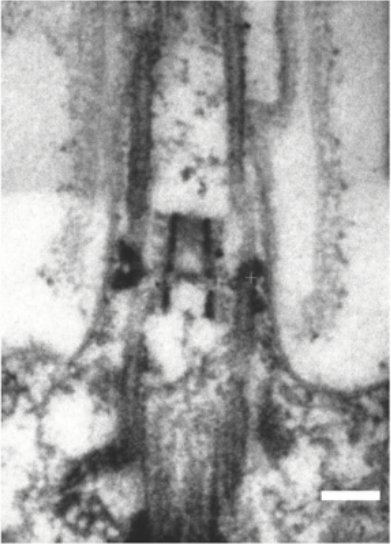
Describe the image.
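Longitudinal section through the base of a cilium at its transition zone. Parallel electron-dense microtubule walls run from the cell body up into the membrane-bounded ciliary shaft. At the base, a dense cylindrical structure with transverse bars spans the lumen, flanked by dark dense deposits at the ciliary membrane. Surrounding cytoplasm and neighbouring membranes appear at the sides.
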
